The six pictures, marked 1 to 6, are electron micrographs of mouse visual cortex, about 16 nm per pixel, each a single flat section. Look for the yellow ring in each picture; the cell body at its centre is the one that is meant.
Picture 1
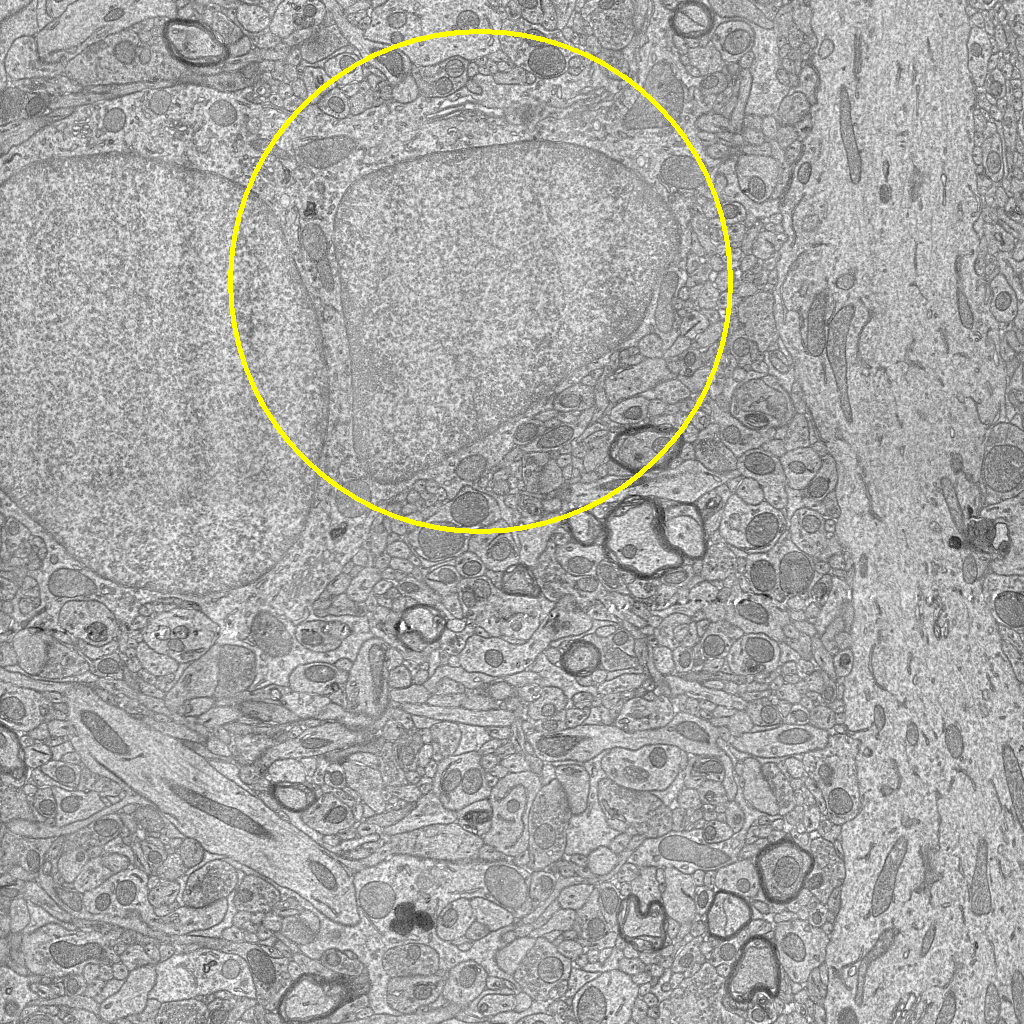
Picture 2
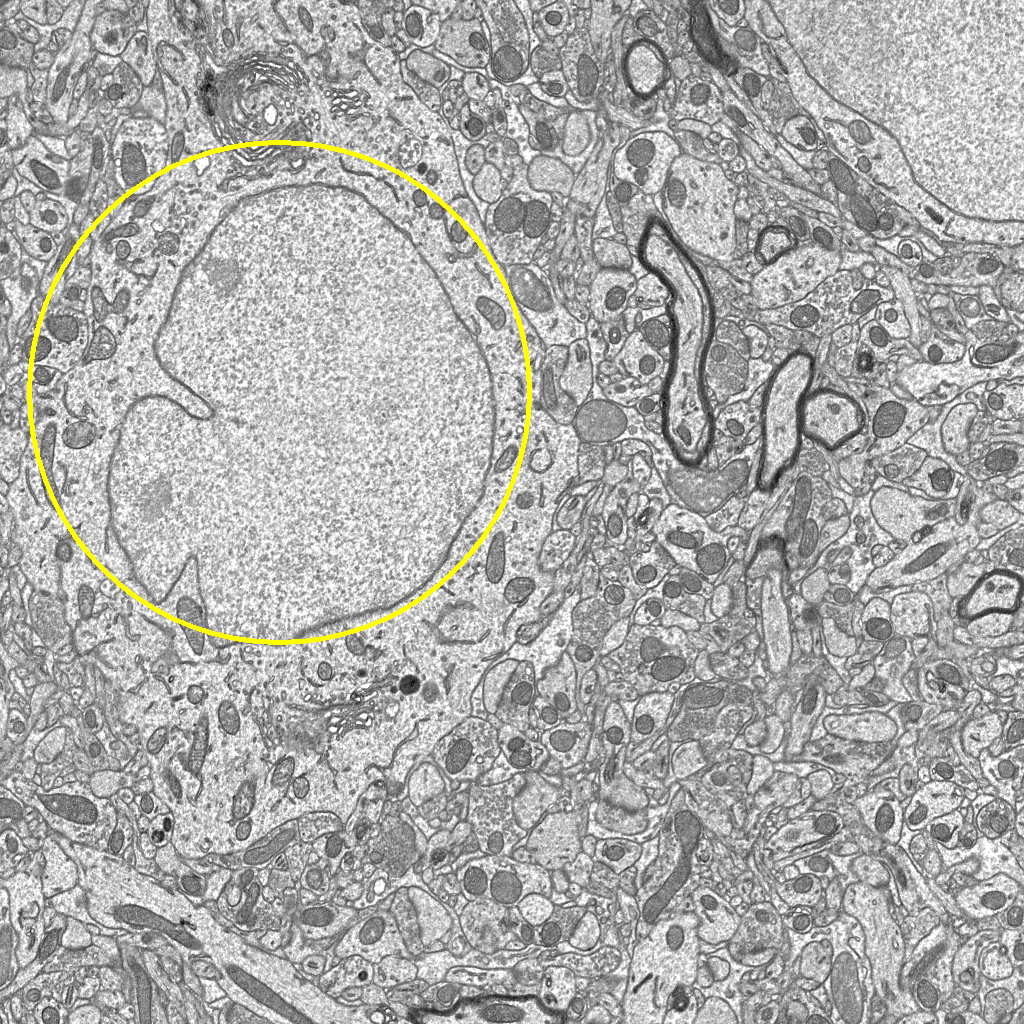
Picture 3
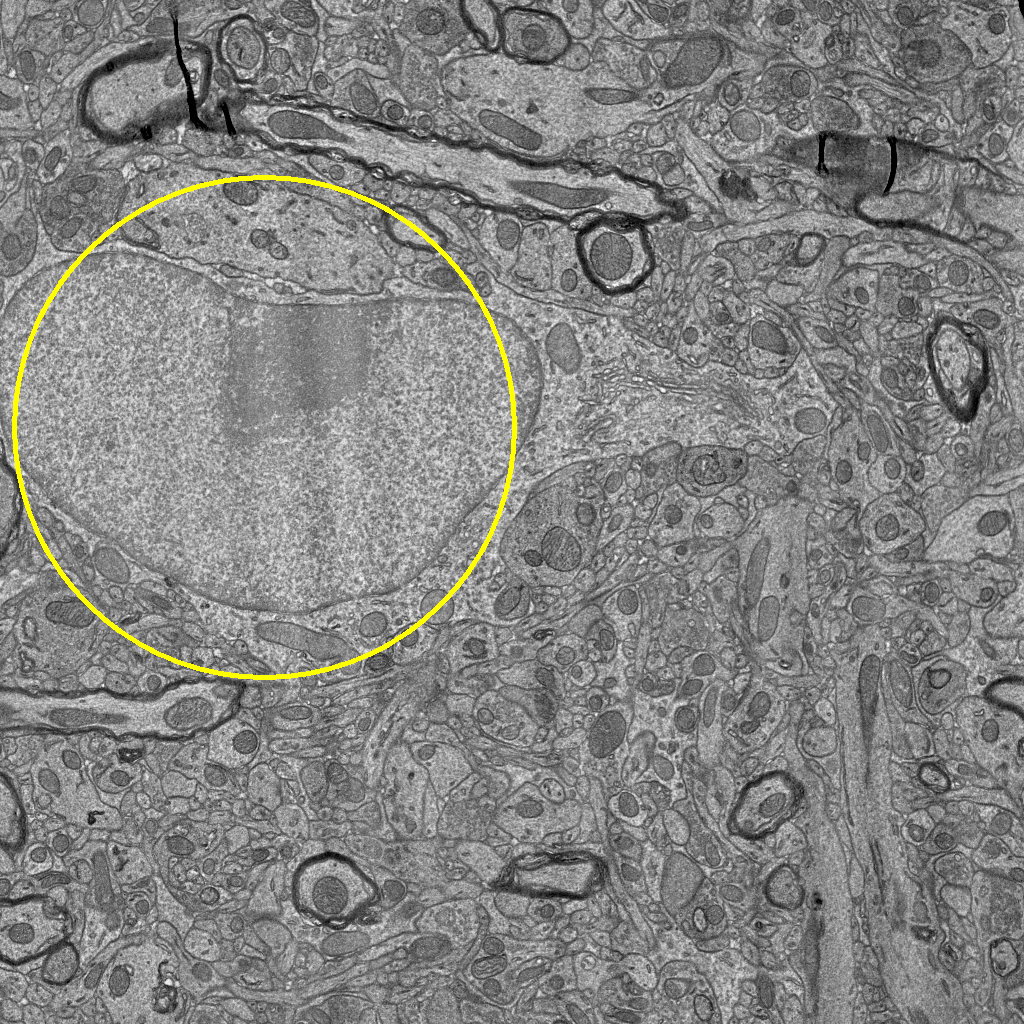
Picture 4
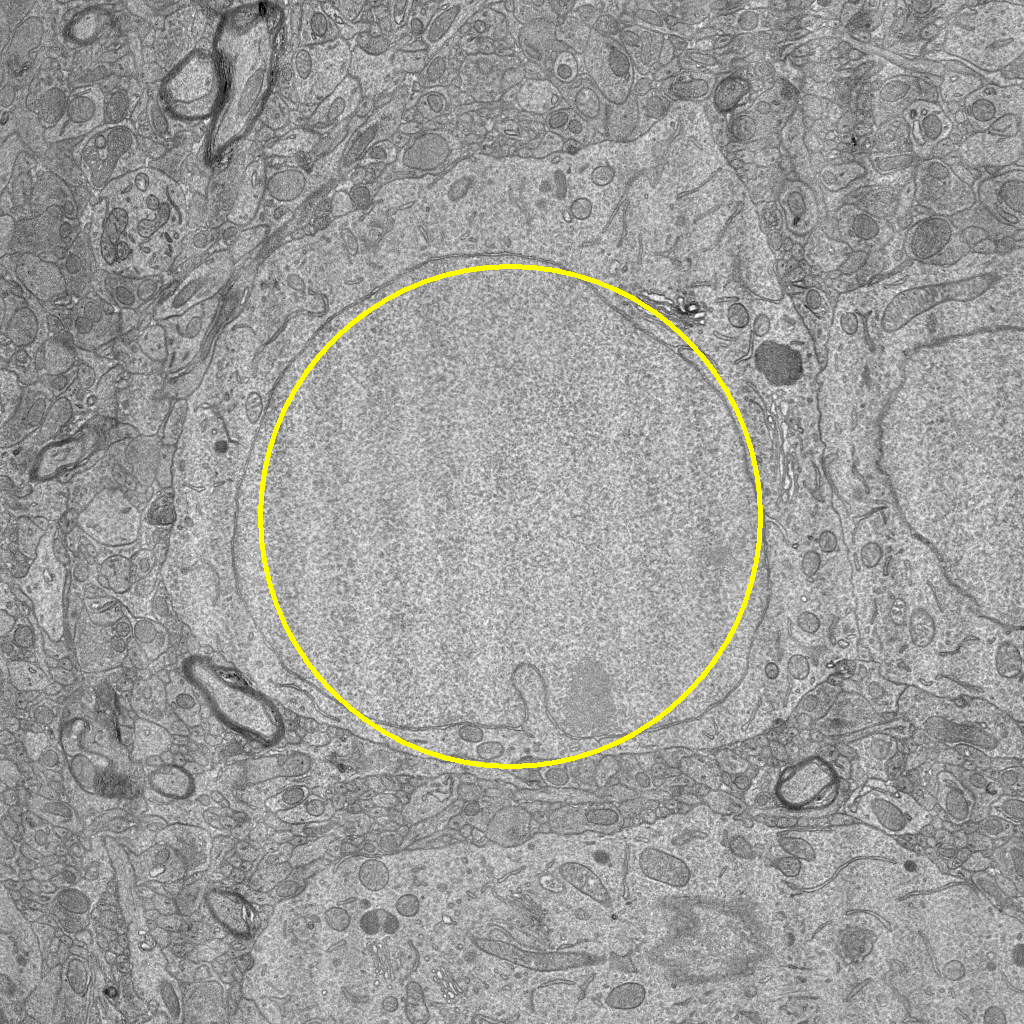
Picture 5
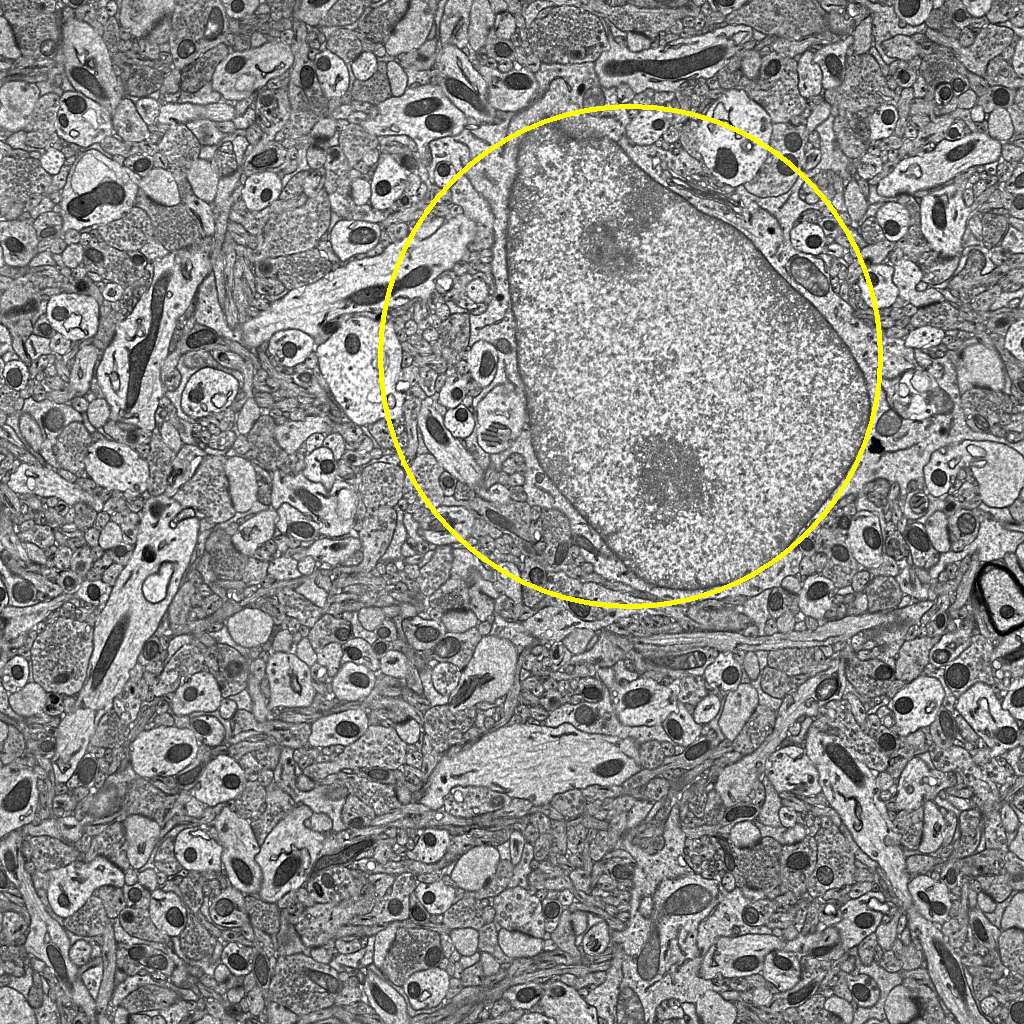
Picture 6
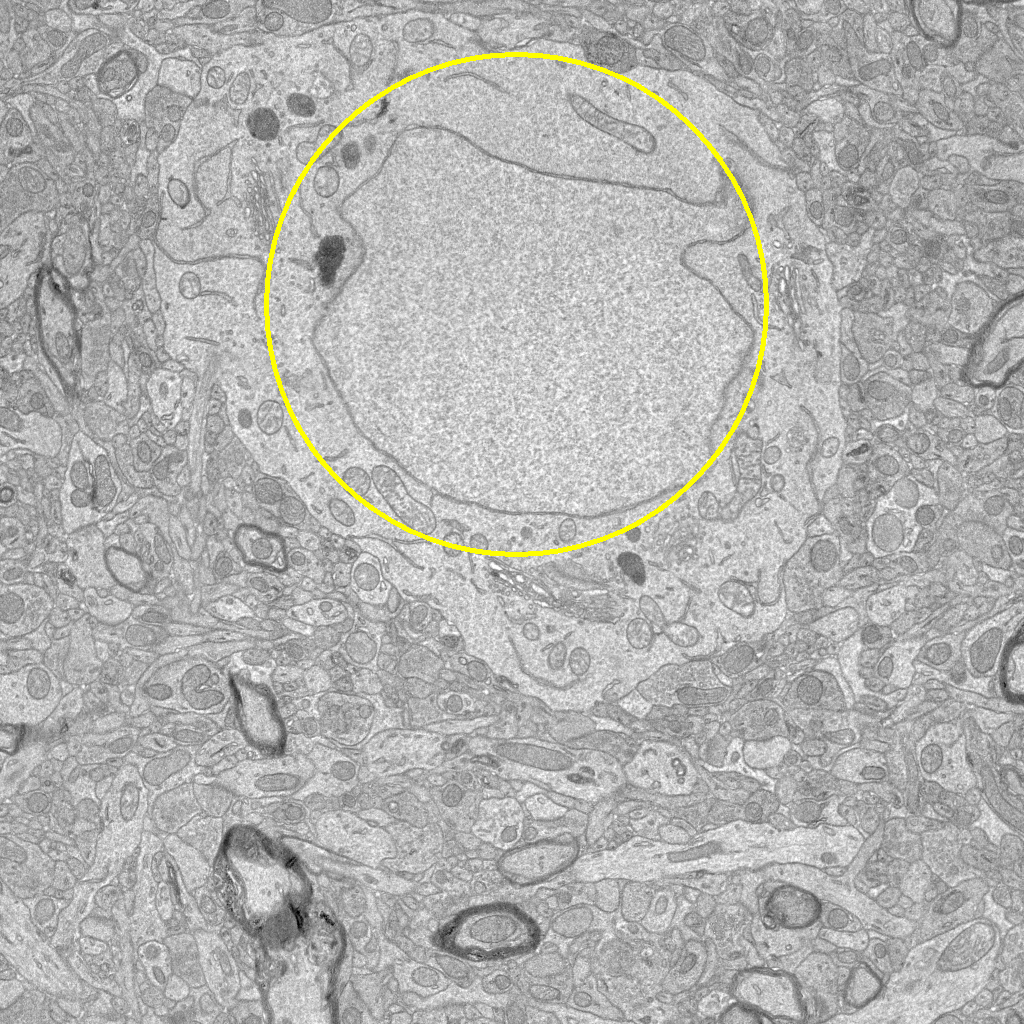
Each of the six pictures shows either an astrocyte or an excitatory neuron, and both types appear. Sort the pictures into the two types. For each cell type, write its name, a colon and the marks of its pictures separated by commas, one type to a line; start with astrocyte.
astrocyte: 1, 3, 5
excitatory neuron: 2, 4, 6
